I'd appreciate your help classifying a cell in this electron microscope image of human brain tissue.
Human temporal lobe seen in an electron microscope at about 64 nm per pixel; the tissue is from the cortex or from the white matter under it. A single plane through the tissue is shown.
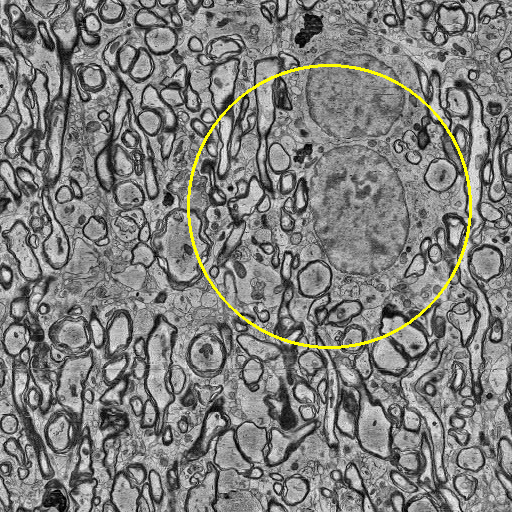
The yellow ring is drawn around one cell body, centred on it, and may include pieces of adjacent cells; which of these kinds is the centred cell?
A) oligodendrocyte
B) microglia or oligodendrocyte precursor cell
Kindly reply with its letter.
A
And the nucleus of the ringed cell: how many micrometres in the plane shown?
Roughly 9 by 6 micrometres is the size of the nucleus in this plane.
